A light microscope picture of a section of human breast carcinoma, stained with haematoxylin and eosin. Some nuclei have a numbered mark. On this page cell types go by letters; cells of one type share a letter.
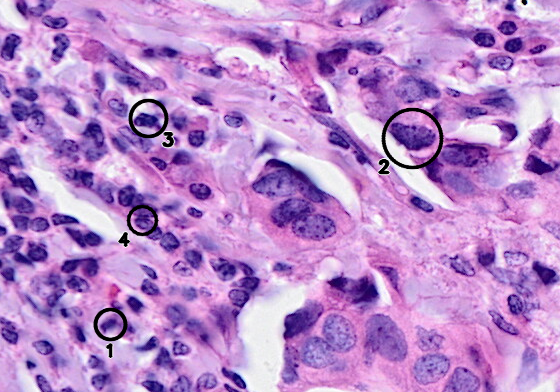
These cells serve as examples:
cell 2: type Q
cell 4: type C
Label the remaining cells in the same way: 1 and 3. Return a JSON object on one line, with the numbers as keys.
{"1": "type C", "3": "type C"}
